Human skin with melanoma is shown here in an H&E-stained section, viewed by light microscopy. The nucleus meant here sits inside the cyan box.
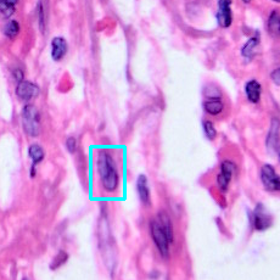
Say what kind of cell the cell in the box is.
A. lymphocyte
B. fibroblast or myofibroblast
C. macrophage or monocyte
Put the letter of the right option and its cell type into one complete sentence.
In this item, the cell in the box is a macrophage or monocyte, and option C is right.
